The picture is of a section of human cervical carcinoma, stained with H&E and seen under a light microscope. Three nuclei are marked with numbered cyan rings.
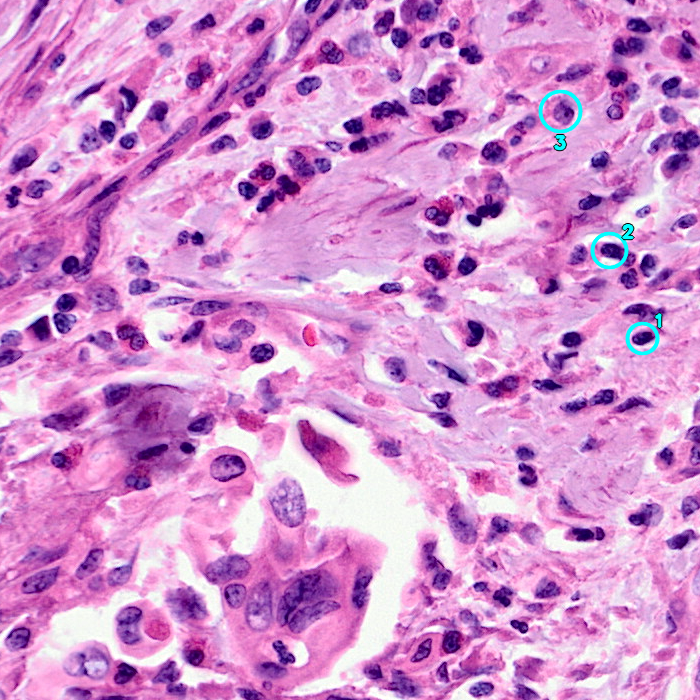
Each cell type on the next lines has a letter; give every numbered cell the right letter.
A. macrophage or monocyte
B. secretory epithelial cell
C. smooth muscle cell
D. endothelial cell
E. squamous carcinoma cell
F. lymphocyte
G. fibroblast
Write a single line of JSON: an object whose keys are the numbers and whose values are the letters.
{"1": "F", "2": "F", "3": "A"}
